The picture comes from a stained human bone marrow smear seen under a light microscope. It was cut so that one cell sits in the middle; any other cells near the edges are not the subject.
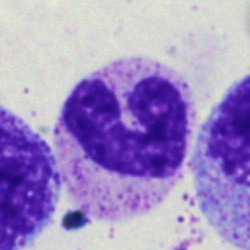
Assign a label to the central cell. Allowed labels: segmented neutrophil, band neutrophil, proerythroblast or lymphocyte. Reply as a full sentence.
The central element of this crop is a cell, namely a band neutrophil.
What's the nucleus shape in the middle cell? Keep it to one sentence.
See how the nucleus sits as one compact round, oval or kidney-shaped mass.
